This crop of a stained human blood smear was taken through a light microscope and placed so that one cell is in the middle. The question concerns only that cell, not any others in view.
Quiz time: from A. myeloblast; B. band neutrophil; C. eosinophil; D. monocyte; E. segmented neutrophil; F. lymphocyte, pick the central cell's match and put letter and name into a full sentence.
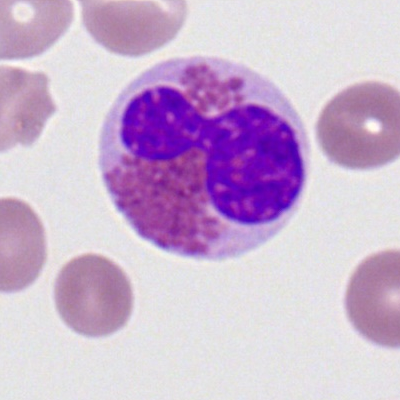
The correct option, C, names the middle cell as an eosinophil.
